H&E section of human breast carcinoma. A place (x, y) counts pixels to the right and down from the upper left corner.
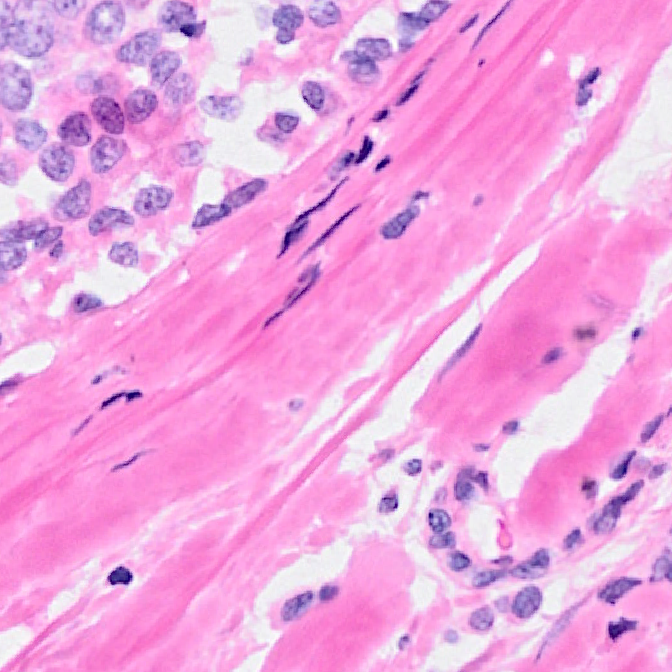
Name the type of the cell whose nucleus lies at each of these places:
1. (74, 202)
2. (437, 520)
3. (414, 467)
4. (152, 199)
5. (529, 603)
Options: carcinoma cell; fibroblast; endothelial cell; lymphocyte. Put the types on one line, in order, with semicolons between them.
carcinoma cell; endothelial cell; lymphocyte; carcinoma cell; carcinoma cell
